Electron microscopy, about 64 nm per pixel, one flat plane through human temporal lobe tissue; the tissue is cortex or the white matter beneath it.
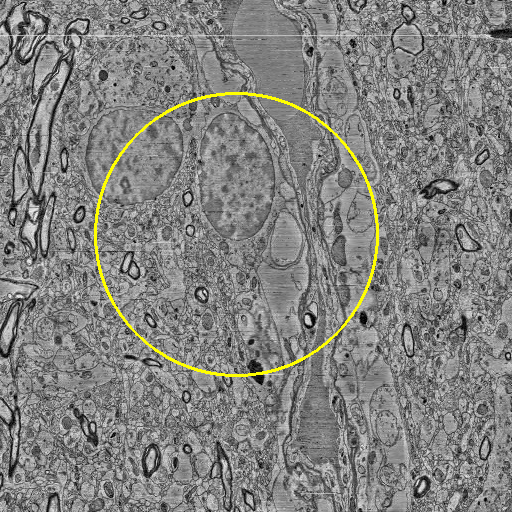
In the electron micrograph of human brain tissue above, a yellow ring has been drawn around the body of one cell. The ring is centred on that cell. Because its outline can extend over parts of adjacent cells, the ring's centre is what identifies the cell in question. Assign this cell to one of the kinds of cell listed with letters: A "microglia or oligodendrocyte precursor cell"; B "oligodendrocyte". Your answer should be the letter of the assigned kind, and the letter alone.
B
